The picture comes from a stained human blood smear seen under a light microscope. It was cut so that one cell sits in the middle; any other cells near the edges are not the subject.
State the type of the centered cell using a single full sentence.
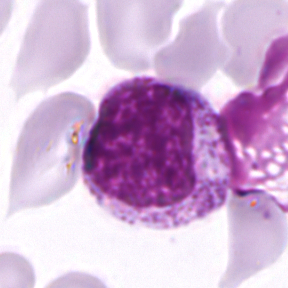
The middle of this crop holds a myelocyte.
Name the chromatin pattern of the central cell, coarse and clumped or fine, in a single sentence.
You can see that its chromatin is coarsely clumped.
